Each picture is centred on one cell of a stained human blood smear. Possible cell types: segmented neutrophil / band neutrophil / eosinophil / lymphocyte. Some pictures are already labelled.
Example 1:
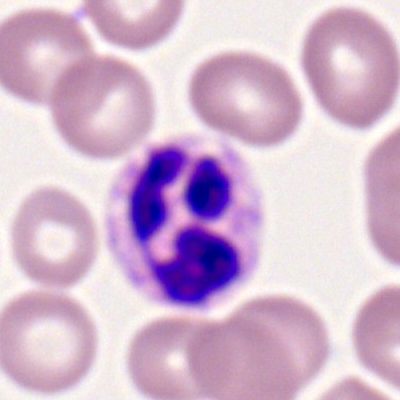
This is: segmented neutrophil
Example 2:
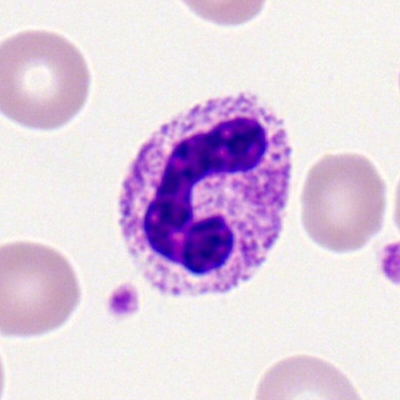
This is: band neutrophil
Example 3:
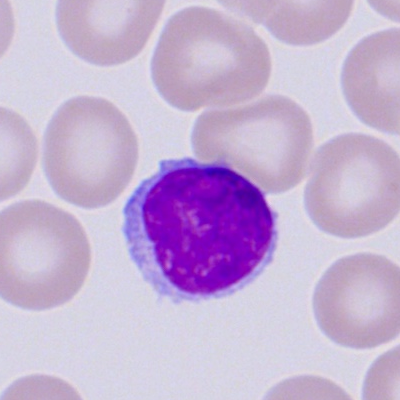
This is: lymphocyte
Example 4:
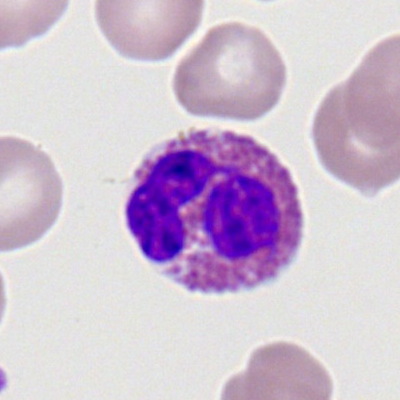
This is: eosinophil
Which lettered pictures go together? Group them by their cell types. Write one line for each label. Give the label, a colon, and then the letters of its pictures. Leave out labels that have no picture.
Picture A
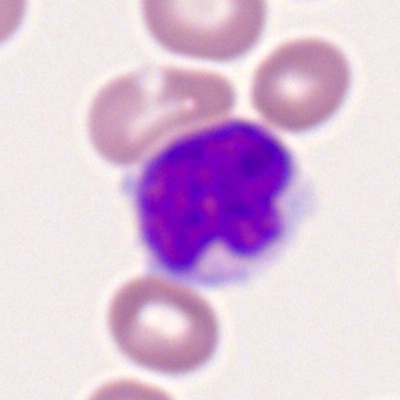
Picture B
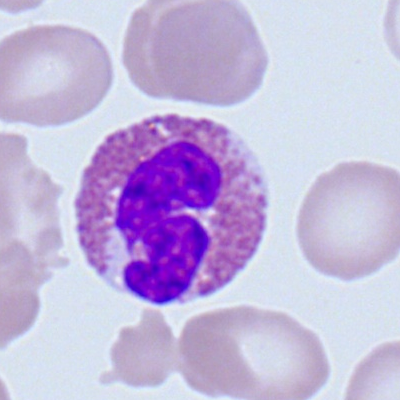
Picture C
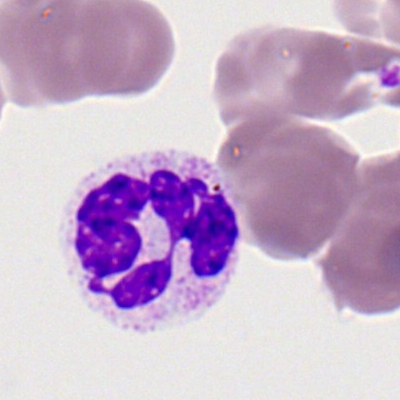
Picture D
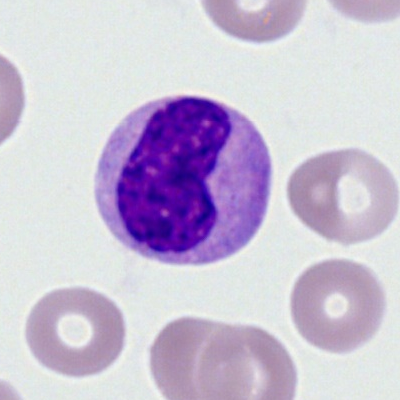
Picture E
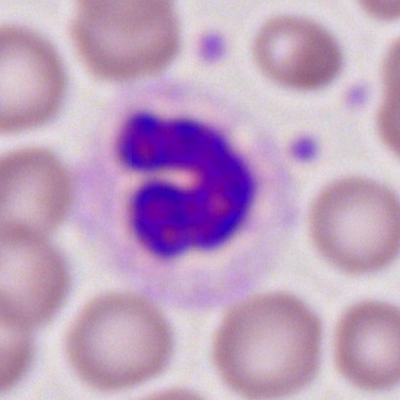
segmented neutrophil: C
band neutrophil: D, E
eosinophil: B
lymphocyte: A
